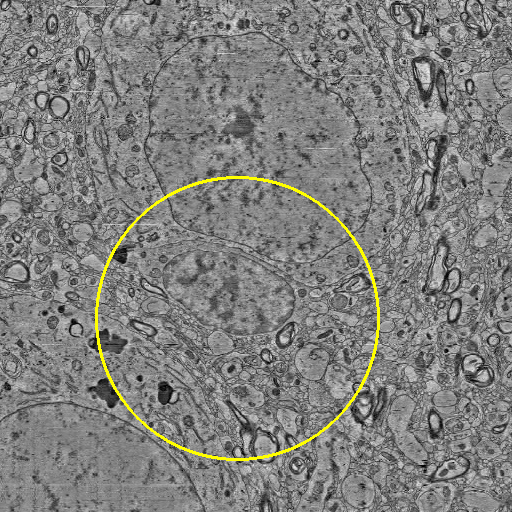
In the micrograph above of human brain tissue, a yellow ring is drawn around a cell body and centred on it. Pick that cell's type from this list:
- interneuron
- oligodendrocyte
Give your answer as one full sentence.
Going by the list, an oligodendrocyte is the cell on which the yellow ring is centred.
